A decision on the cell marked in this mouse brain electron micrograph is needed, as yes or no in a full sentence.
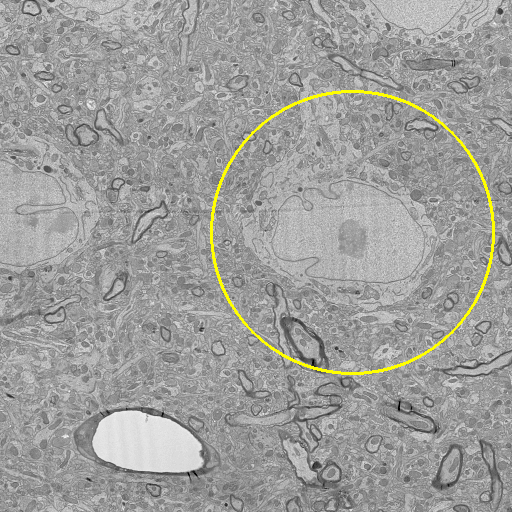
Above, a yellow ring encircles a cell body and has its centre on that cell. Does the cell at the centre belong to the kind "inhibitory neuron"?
No, a different kind fits the cell at the centre of the ring in the picture.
